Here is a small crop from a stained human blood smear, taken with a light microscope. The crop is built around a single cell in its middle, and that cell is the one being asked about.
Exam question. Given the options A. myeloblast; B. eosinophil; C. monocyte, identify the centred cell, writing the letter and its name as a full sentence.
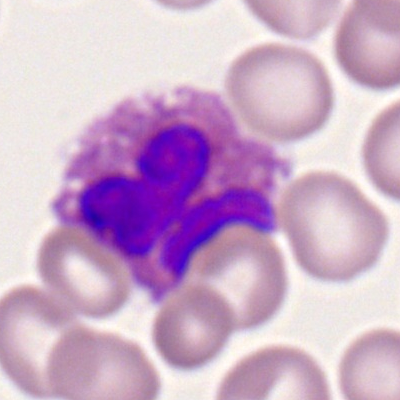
Option B gets it right: the cell in the middle is an eosinophil.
